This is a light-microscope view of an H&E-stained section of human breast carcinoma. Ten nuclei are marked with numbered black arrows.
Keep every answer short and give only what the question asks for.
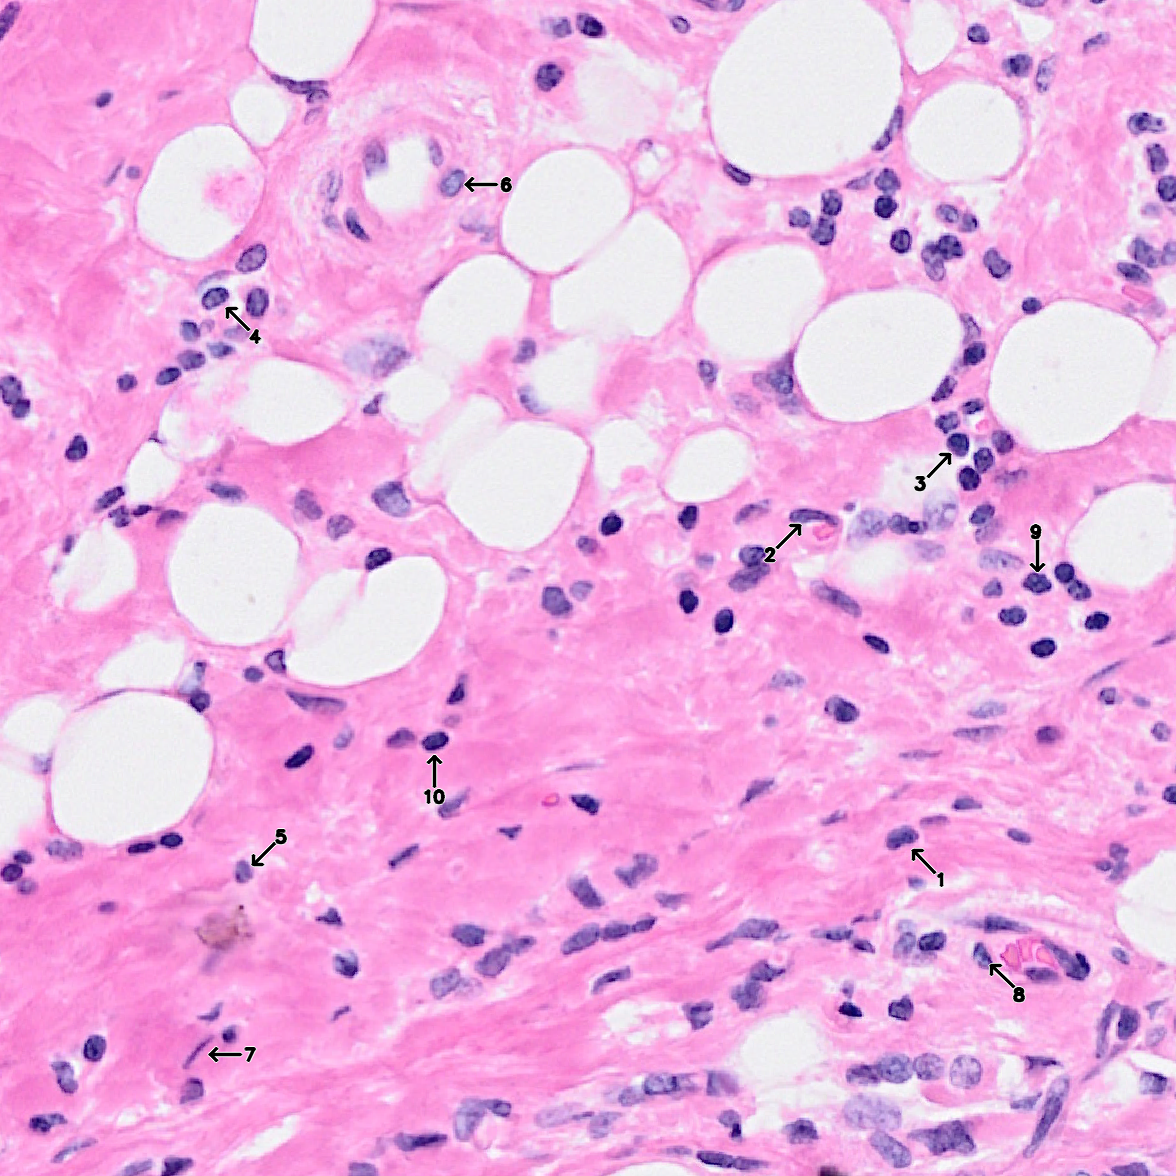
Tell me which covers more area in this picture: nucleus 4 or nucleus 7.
4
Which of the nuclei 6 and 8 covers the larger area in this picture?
6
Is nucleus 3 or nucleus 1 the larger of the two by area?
1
